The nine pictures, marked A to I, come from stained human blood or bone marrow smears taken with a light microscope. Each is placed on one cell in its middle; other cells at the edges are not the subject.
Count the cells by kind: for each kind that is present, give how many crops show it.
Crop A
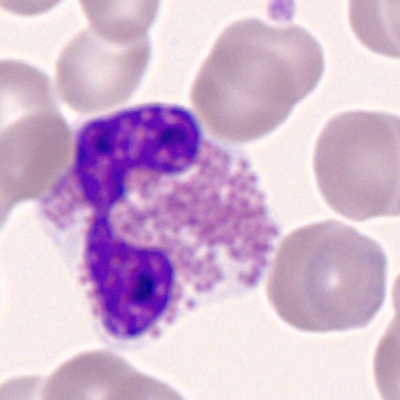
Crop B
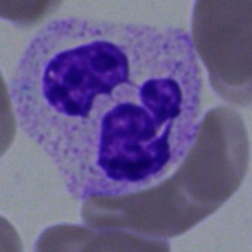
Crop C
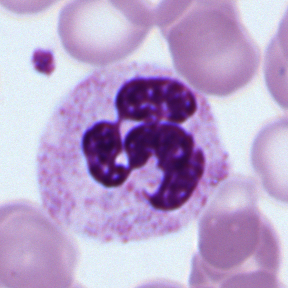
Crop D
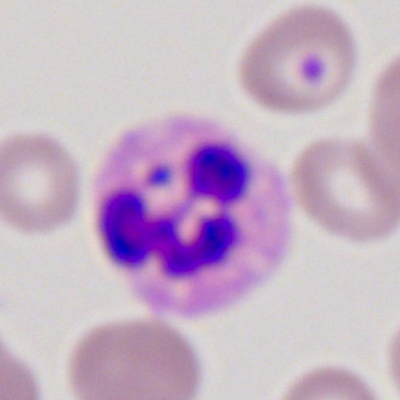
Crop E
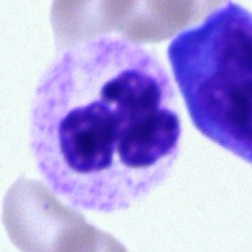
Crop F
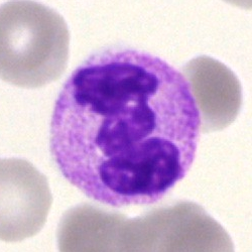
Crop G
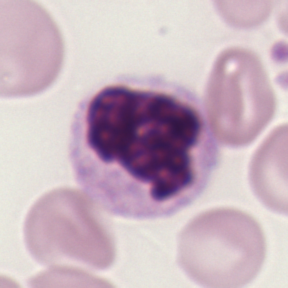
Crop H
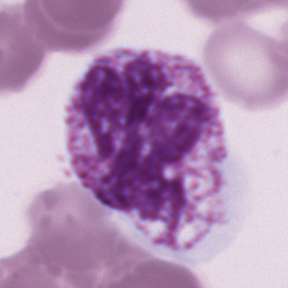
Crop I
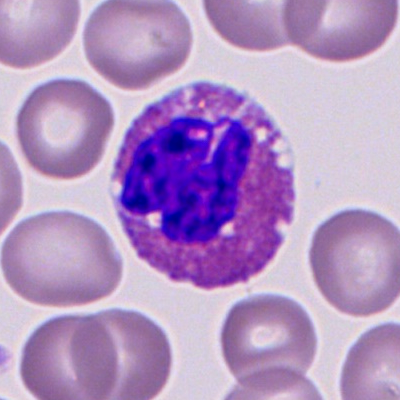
segmented neutrophil: 7
eosinophil: 2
